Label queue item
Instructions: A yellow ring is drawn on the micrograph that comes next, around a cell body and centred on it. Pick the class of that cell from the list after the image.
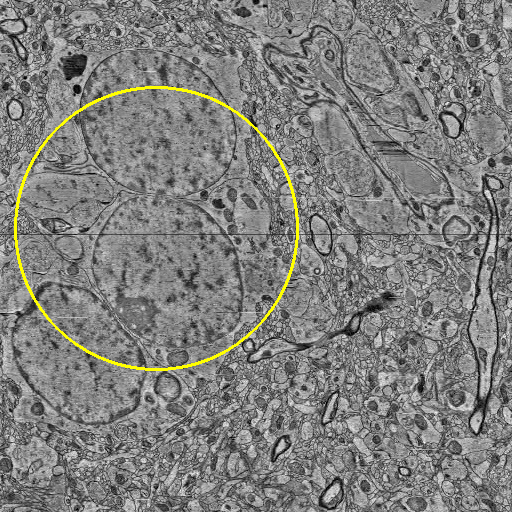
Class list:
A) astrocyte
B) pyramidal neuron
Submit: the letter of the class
A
